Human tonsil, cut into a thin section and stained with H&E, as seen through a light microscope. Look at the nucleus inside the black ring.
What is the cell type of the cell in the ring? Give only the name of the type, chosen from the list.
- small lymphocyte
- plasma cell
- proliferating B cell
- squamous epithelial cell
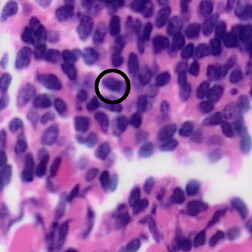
small lymphocyte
